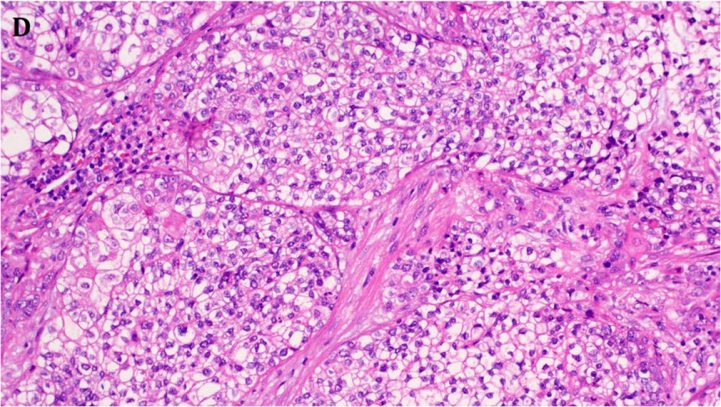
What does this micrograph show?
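This is a clear cell area of the tumour at higher magnification. The cells are polygonal, with pale, almost empty-looking cytoplasm and sharp cell membranes. Their nuclei are round and vary somewhat in size and darkness. The cells are grouped in nests separated by thin bands of pink fibrous tissue. A small cluster of little dark round inflammatory cells lies at the left edge of one nest.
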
